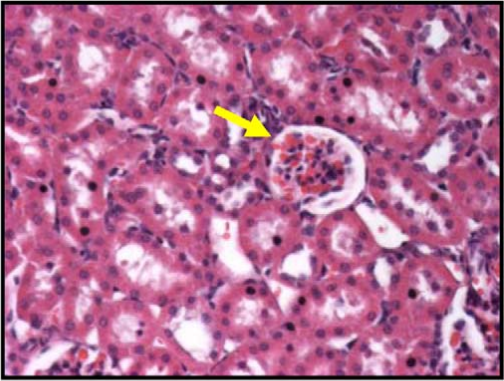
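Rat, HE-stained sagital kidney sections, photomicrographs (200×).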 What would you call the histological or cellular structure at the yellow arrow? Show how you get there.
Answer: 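The arrow points at a small round tuft of capillaries with red blood cells and nuclei. A clear rim of space and a thin capsule surround the tuft. Cross-sectioned tubules lie all around it.
Answer: glomerular structures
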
